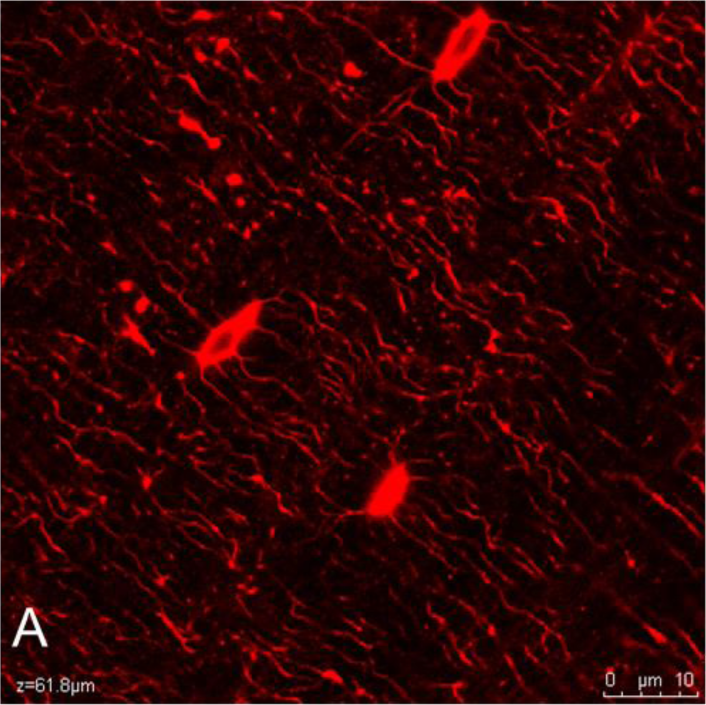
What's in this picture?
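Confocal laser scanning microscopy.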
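This is bone with osteocytes, seen as a few bright red, elongated cell bodies scattered widely through the matrix. Each cell body is spindle- to star-shaped and gives off numerous very fine processes, the dendrites. These processes branch and run mostly in one oblique direction, crossing the field between the cells. Together they form a dense, closely woven network that fills nearly all the space between the cell bodies. Small red dots and short fragments lie along the threads throughout the field.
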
